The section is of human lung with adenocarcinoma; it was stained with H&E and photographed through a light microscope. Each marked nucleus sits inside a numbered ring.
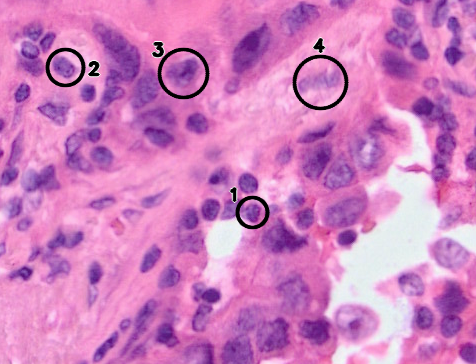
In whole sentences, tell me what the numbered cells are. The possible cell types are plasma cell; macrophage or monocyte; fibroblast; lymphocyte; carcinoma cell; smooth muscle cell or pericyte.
Cell 1 is a lymphocyte, cell 2 is a lymphocyte, cell 3 is a carcinoma cell and cell 4 is a fibroblast.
